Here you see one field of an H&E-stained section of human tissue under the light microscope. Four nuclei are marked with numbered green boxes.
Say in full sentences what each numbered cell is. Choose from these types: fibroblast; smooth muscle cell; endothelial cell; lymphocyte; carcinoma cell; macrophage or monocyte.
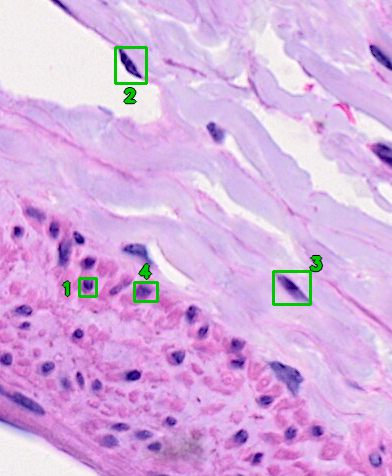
Cell 1 is a smooth muscle cell, cell 2 is an endothelial cell, cell 3 is a fibroblast and cell 4 is a smooth muscle cell.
